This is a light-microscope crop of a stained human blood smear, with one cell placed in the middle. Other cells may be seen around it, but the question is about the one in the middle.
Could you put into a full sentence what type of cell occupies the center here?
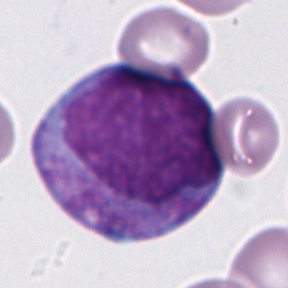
Within this crop, a promyelocyte occupies the central position.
